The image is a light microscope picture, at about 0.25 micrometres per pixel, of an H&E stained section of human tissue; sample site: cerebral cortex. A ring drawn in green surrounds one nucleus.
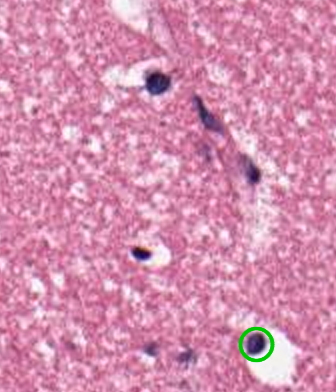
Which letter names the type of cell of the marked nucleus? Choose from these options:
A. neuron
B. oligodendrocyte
B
